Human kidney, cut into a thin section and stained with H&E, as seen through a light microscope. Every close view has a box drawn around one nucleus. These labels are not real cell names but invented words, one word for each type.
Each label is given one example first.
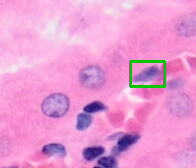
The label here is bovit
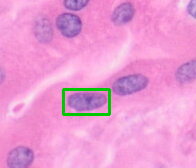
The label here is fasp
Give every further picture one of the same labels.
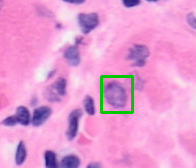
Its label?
fasp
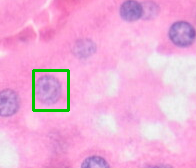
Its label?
fasp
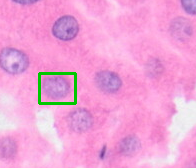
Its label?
fasp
